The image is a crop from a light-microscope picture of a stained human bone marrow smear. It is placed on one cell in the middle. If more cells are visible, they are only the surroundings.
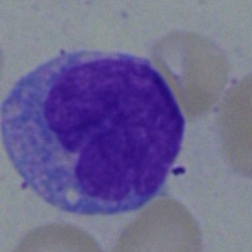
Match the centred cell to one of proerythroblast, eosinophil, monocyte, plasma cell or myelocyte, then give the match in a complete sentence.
The cell found in the middle of this crop is a monocyte.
